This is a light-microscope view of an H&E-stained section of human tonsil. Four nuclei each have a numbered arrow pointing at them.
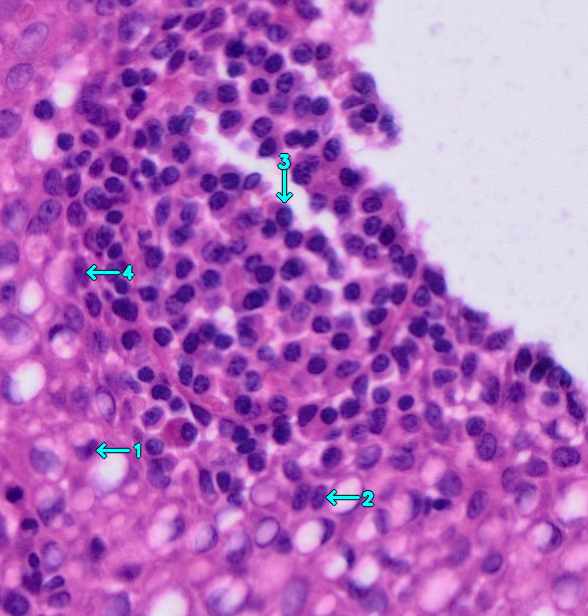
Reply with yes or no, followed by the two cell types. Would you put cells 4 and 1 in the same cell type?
Yes, it is as squamous epithelial cells that cells 4 and 1 are both classified.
